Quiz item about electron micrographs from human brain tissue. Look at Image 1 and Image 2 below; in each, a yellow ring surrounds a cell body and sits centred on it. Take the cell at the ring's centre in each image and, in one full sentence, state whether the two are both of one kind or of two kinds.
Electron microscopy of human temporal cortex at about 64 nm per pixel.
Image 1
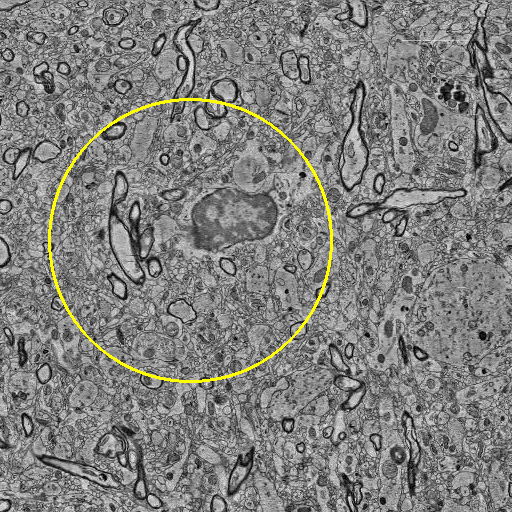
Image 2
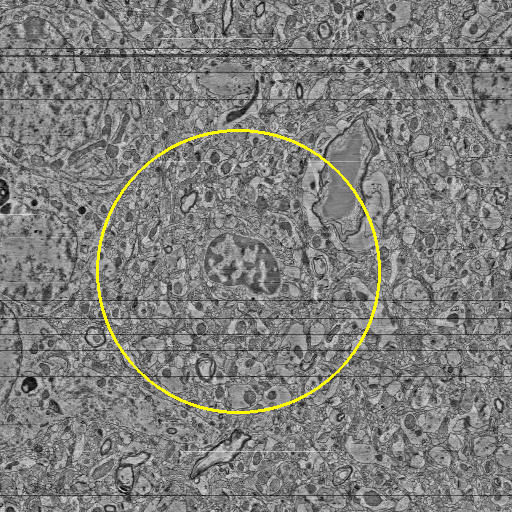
In Image 1 and Image 2, the cells at the ring centres are both of one kind.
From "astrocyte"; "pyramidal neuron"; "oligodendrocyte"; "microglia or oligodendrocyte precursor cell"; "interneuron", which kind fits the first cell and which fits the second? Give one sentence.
Each of the ringed cells, first and second, is a microglial cell or oligodendrocyte precursor cell.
